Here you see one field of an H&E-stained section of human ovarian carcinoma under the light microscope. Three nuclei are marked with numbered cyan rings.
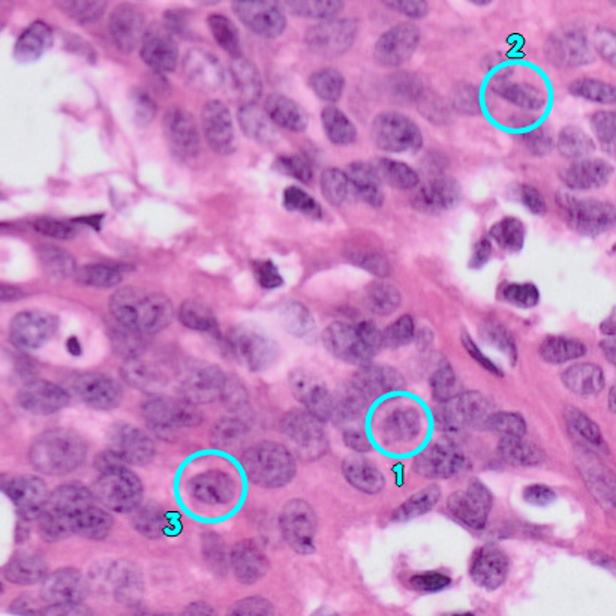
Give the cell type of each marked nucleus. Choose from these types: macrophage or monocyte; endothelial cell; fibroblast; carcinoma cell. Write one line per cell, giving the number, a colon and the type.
1: macrophage or monocyte
2: carcinoma cell
3: macrophage or monocyte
